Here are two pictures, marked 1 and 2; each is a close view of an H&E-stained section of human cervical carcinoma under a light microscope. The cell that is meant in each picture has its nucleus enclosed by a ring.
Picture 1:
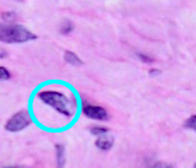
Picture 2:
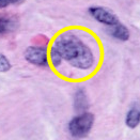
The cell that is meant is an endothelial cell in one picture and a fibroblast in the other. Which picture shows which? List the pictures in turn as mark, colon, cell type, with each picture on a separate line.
1: fibroblast
2: endothelial cell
